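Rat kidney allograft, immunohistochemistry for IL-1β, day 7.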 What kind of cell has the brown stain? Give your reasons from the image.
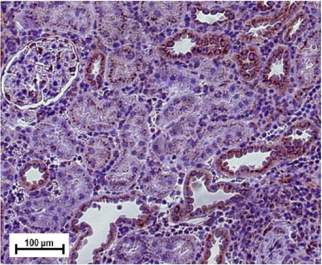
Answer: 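Tubular cells. Brown stain lies in the cytoplasm of epithelial cells that line tubular profiles. The stained cells surround open lumina in cross-sectioned tubules.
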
